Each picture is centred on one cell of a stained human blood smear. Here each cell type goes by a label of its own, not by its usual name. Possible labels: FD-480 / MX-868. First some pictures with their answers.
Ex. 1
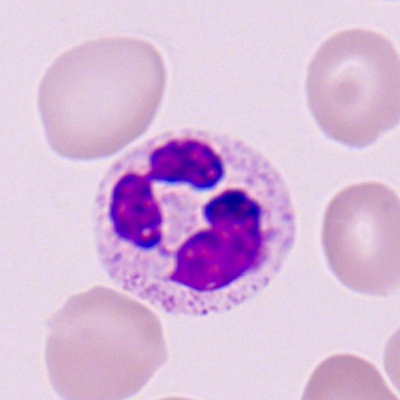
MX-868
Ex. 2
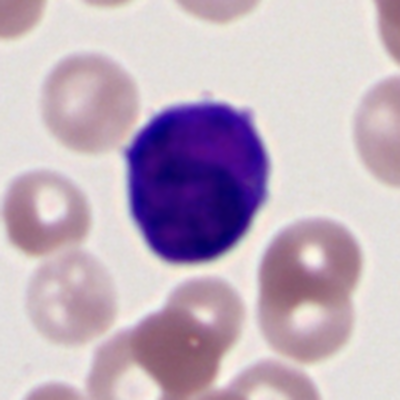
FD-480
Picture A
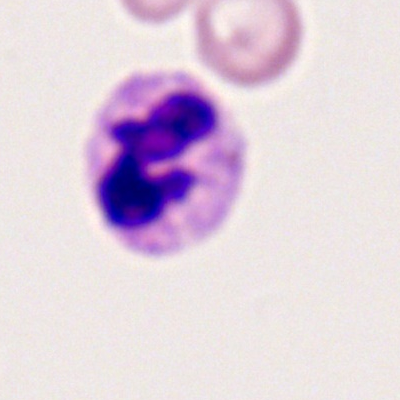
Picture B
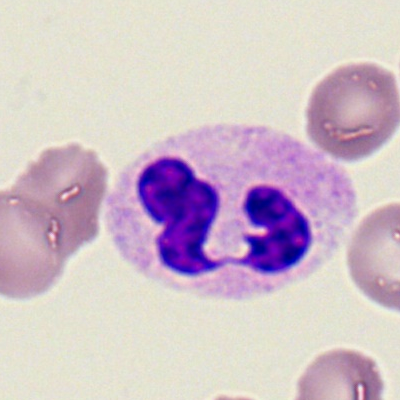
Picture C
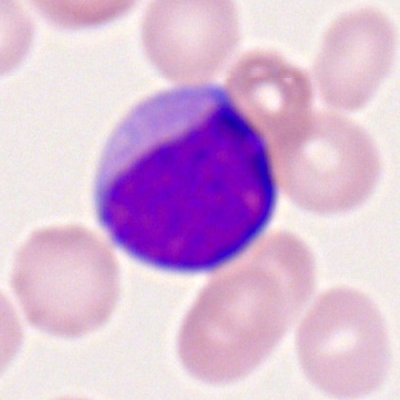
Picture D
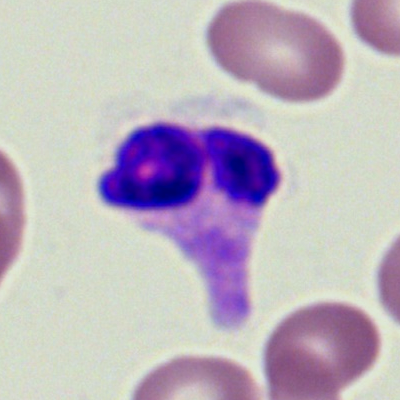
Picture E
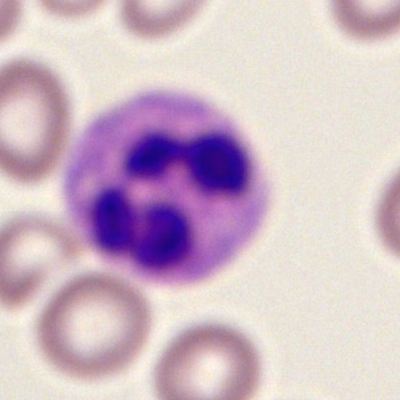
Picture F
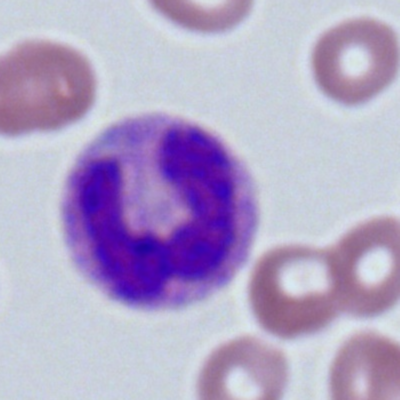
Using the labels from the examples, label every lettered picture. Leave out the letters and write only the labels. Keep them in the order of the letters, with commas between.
MX-868, MX-868, FD-480, MX-868, MX-868, MX-868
